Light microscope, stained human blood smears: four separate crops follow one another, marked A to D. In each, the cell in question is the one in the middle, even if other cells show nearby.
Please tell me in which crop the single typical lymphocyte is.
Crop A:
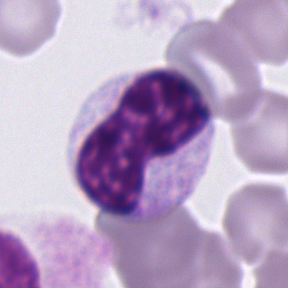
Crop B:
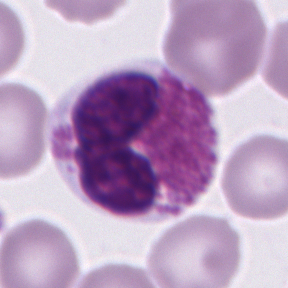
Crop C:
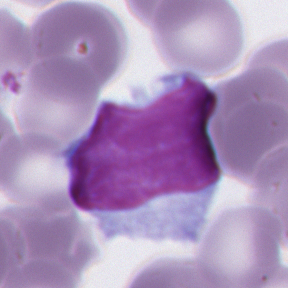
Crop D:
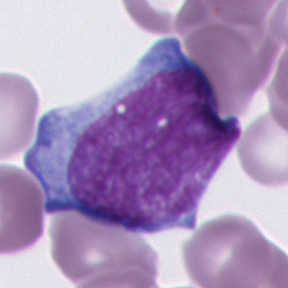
C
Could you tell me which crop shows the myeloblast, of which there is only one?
D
